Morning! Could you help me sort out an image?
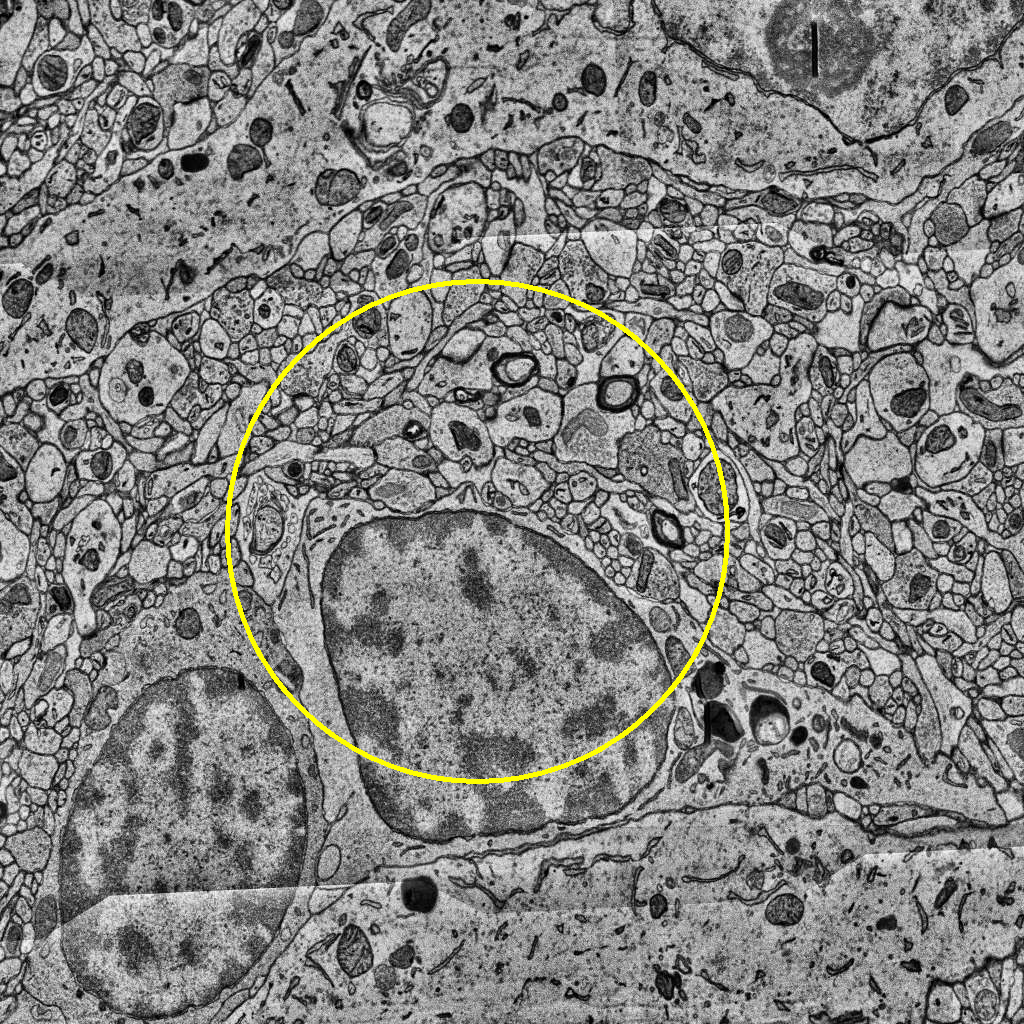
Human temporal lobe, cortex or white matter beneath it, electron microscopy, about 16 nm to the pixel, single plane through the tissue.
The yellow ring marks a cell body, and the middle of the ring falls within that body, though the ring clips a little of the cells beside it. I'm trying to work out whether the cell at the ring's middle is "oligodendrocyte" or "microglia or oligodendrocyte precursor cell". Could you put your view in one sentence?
The cell body at the ring's middle is that of a microglial cell or oligodendrocyte precursor cell.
